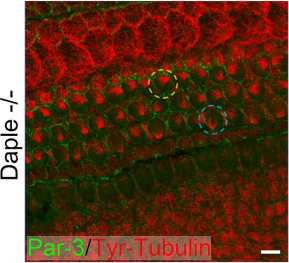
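Surface view of the organ of Corti with rows of hair cells outlined by a green junctional signal. The foci lie within the round apical outlines, giving a regular spotted pattern across the rows. Surrounding supporting cells show diffuse red meshwork.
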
